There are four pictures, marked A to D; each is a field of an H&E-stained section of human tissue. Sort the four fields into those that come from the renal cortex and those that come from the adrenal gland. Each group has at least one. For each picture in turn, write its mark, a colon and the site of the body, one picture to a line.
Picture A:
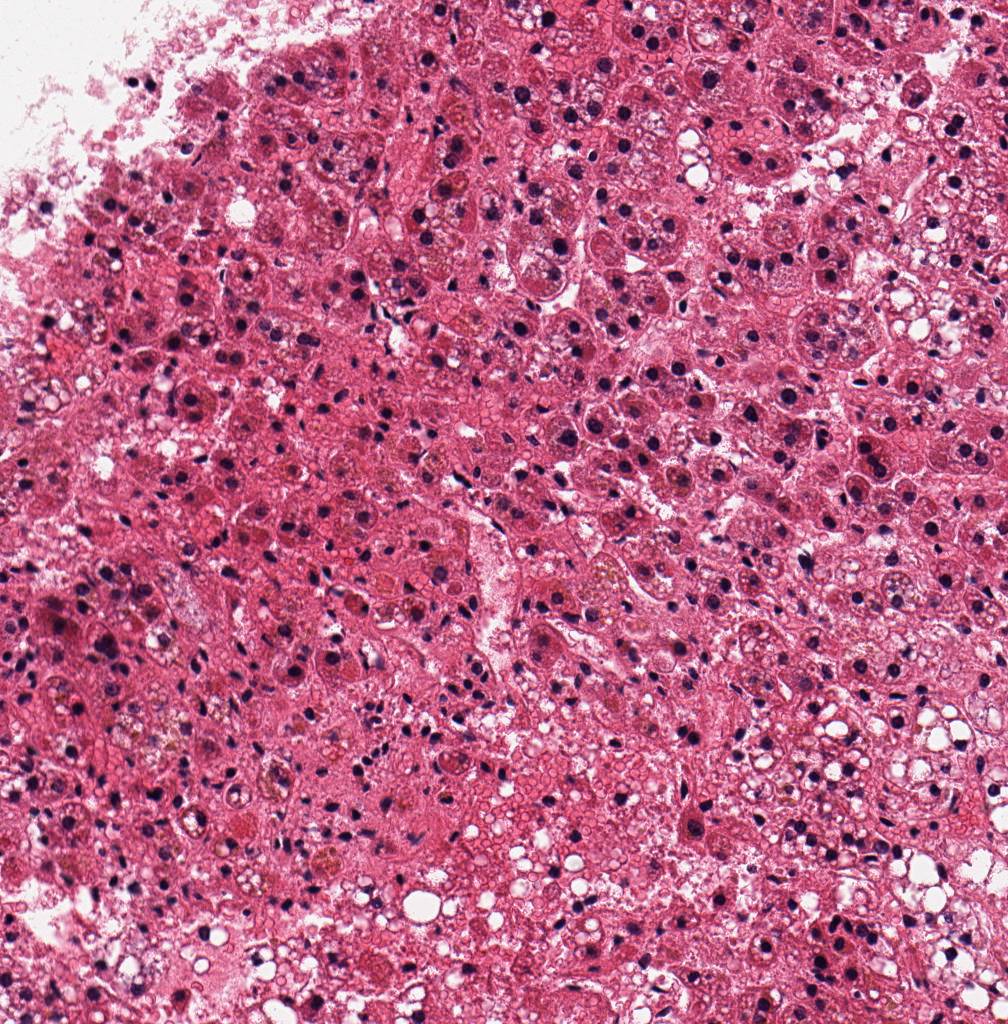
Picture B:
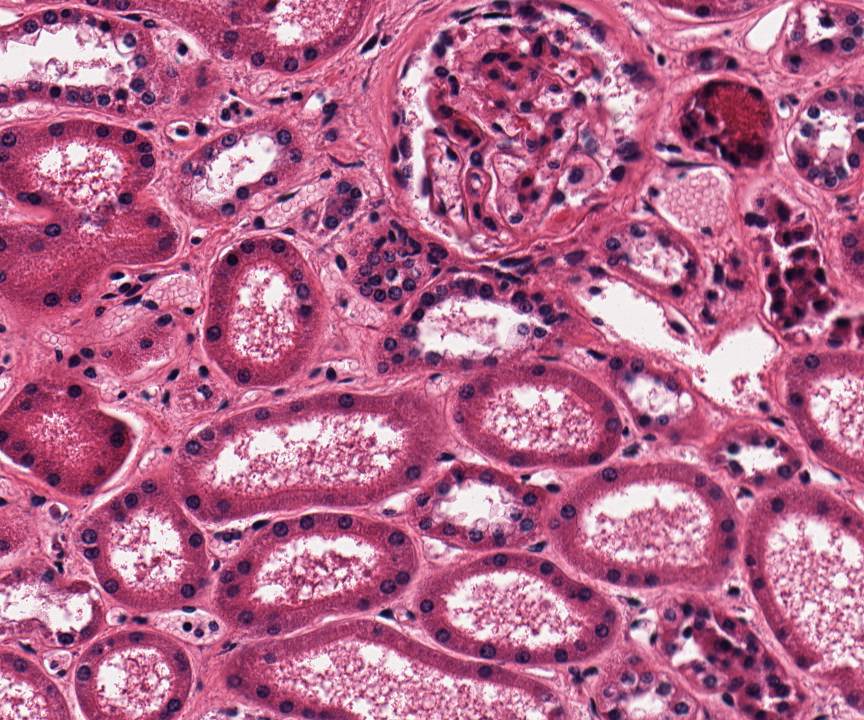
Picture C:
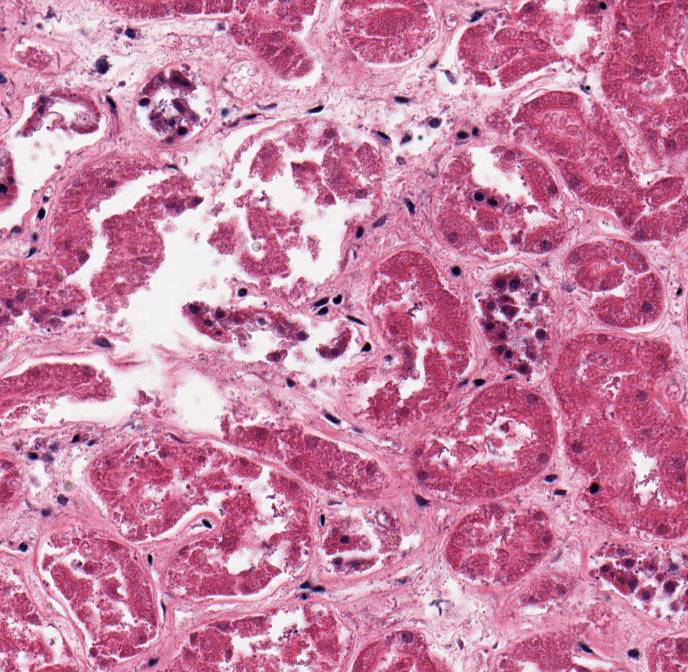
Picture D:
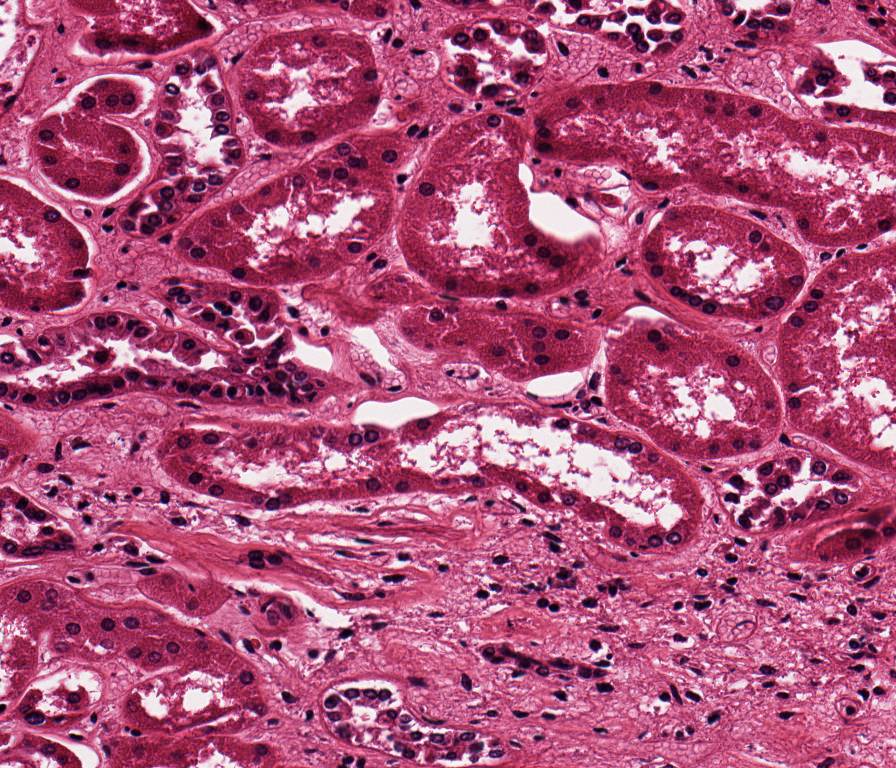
A: adrenal gland
B: renal cortex
C: renal cortex
D: renal cortex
